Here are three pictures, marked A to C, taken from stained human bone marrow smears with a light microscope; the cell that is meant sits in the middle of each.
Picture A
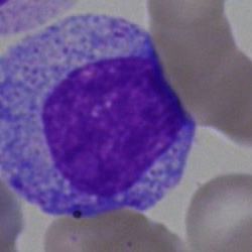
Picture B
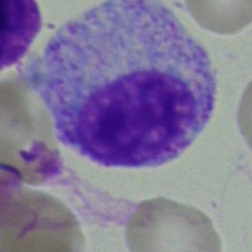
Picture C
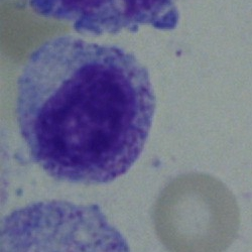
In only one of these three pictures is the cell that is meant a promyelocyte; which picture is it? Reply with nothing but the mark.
A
